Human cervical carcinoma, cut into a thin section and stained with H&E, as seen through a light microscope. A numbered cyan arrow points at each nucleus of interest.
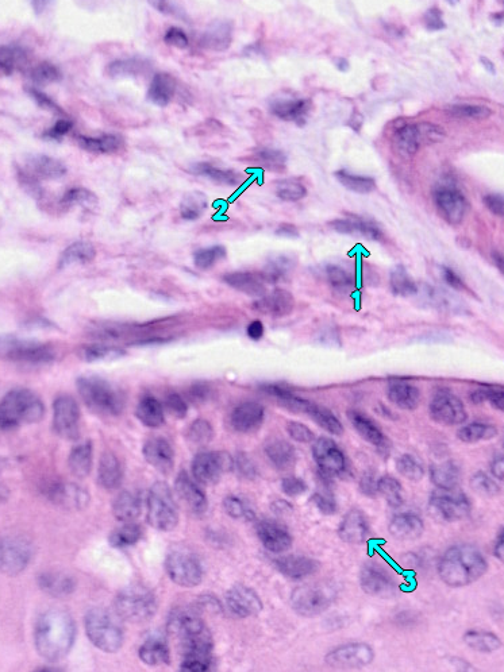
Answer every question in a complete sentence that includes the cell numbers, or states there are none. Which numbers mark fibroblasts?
Regarding the numbered cells 1 and 2, these are fibroblasts.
